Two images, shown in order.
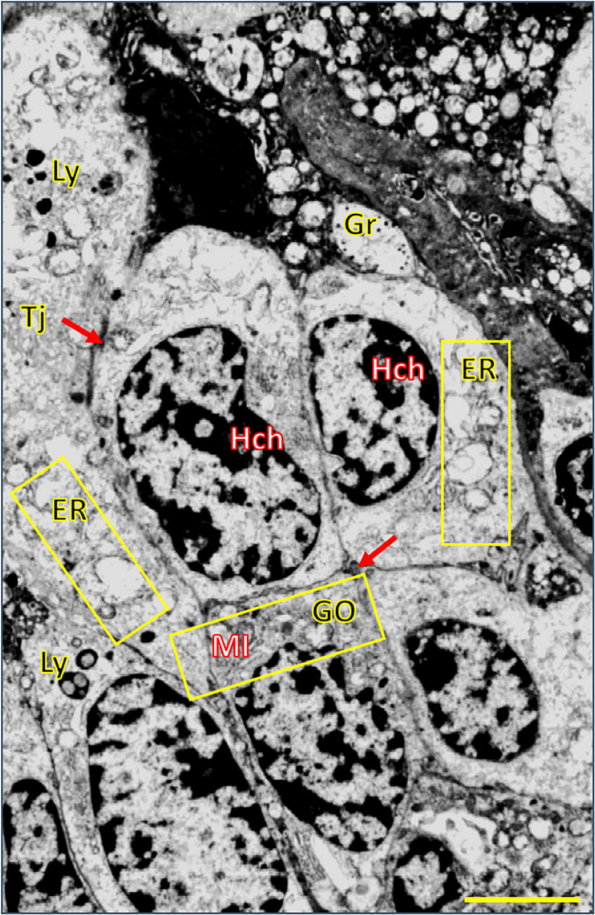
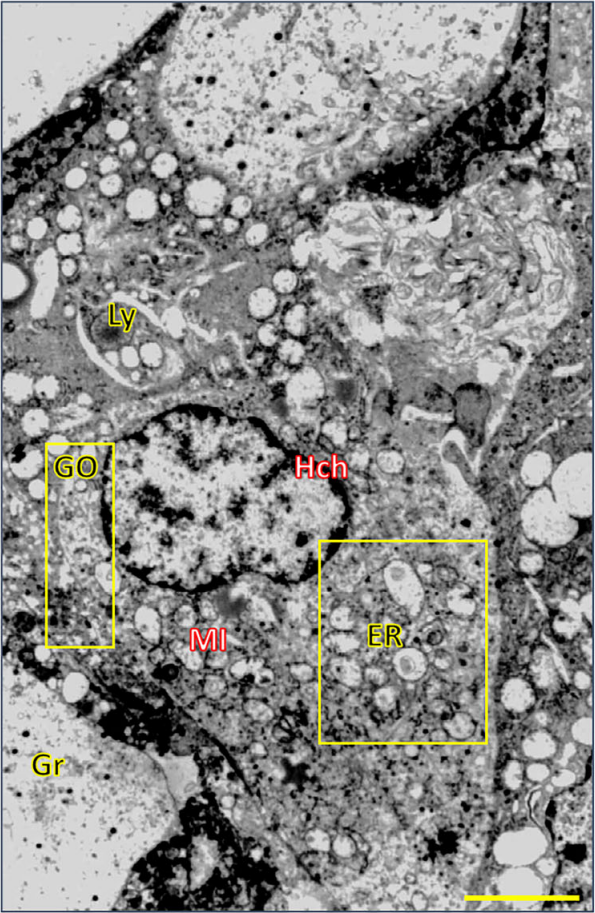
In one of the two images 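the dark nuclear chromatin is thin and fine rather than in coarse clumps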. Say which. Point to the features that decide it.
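Second image: the nucleus has a thin dark rim along its membrane with small scattered dark specks inside. First image: the nuclei hold many large, coarse black clumps of chromatin, several pressed against the nuclear membrane. The answer: the second image.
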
